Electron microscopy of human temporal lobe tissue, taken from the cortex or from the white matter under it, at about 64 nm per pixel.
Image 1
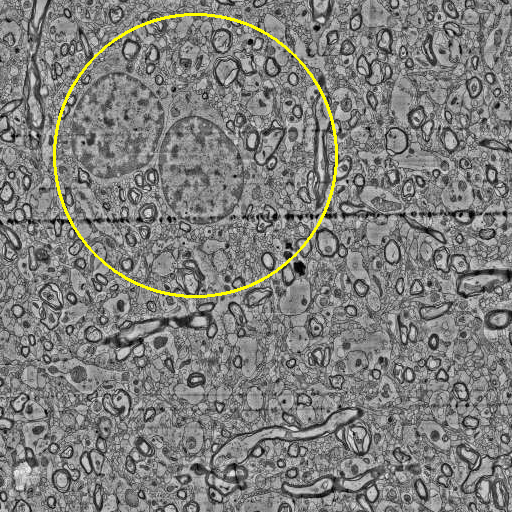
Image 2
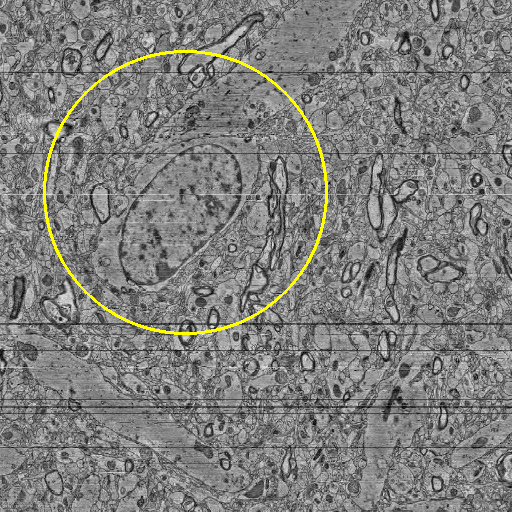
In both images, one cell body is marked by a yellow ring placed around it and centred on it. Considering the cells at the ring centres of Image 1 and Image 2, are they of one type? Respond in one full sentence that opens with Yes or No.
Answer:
No, two types apply to the ring-centred cells of Image 1 and Image 2.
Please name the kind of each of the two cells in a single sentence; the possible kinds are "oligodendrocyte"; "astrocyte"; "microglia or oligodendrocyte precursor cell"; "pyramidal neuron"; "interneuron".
In the first picture the ring is centred on an oligodendrocyte, and in the second on a microglial cell or oligodendrocyte precursor cell.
